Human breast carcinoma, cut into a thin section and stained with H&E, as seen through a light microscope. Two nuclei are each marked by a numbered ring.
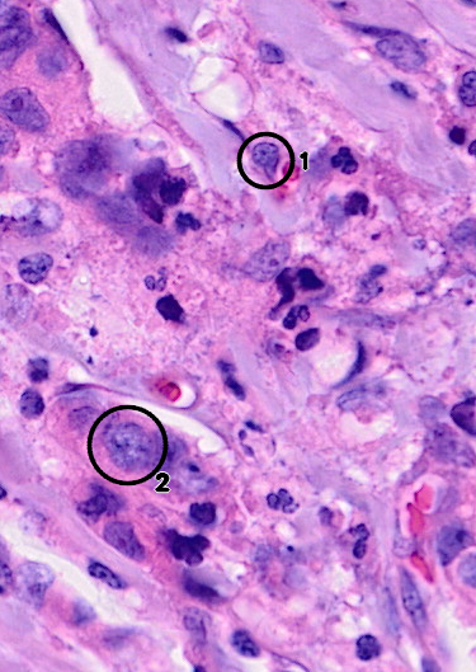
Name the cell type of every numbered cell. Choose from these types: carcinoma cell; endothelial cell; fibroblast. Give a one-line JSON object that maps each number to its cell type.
{"1": "endothelial cell", "2": "carcinoma cell"}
